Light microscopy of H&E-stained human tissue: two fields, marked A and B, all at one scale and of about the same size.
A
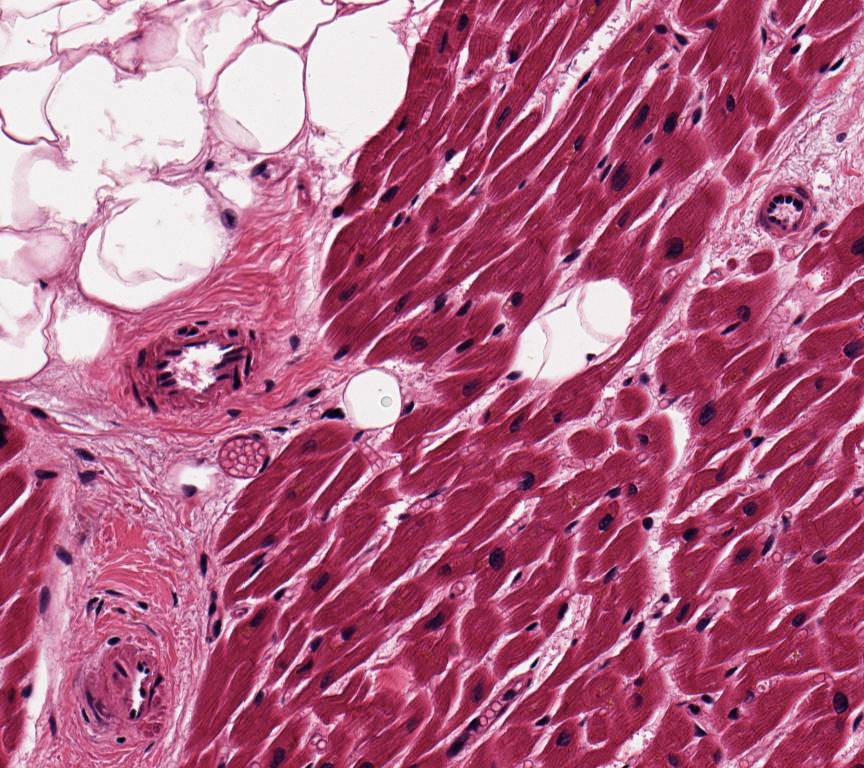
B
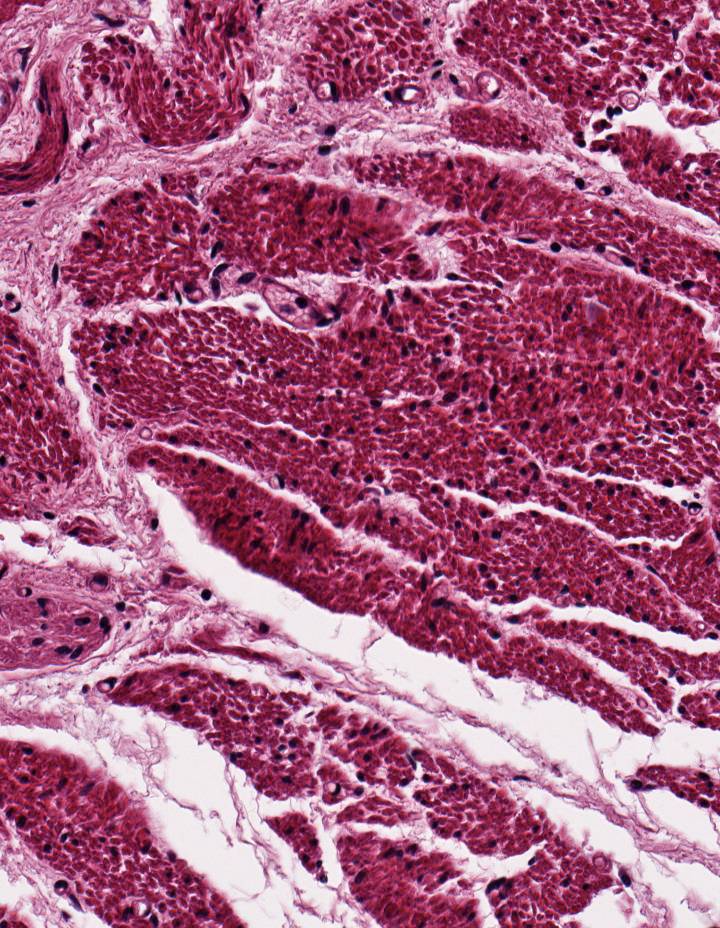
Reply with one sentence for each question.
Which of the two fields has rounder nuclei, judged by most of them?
The nuclei are rounder in field B.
